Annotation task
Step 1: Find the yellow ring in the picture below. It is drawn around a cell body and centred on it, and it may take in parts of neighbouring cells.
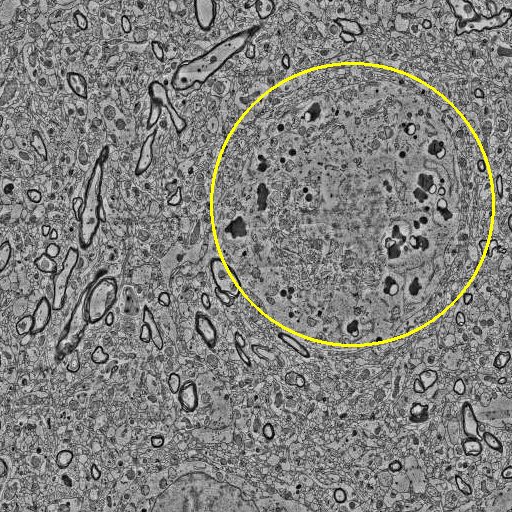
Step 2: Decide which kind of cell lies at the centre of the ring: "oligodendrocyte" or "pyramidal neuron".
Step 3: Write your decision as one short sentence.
The kind of cell at the ring's centre is a pyramidal neuron.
